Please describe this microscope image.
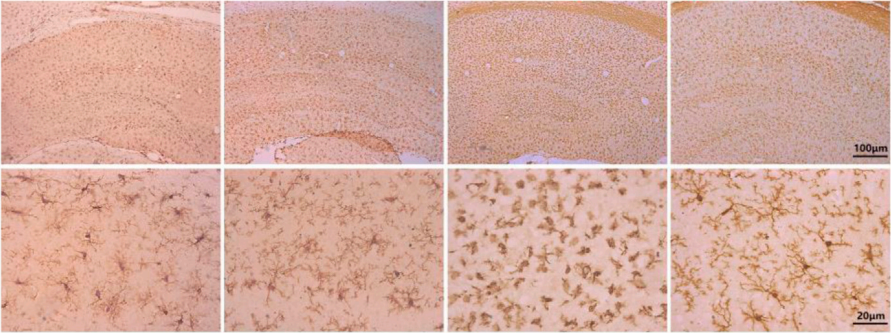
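In the high-magnification row, most images show cells with small bodies and long, thin, branching processes that radiate in all directions and are spaced apart from one another. In one image the stained cells instead have larger, darker bodies with shorter, thicker processes and appear more crowded. The background between the stained cells is pale and unstained.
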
